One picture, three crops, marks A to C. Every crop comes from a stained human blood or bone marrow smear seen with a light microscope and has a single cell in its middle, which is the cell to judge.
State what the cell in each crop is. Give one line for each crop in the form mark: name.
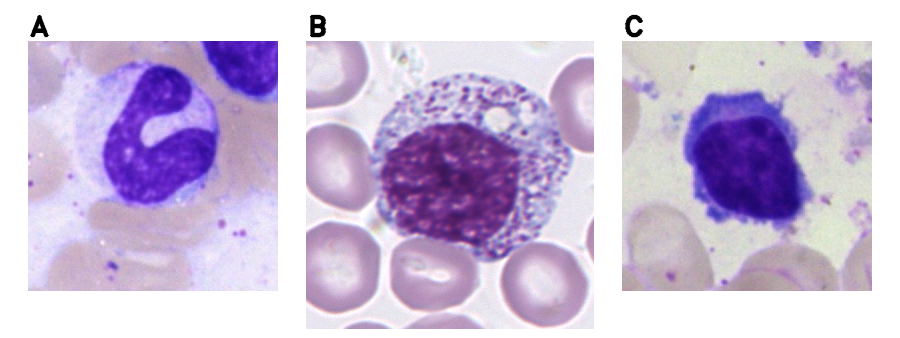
A: band neutrophil
B: promyelocyte
C: lymphocyte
